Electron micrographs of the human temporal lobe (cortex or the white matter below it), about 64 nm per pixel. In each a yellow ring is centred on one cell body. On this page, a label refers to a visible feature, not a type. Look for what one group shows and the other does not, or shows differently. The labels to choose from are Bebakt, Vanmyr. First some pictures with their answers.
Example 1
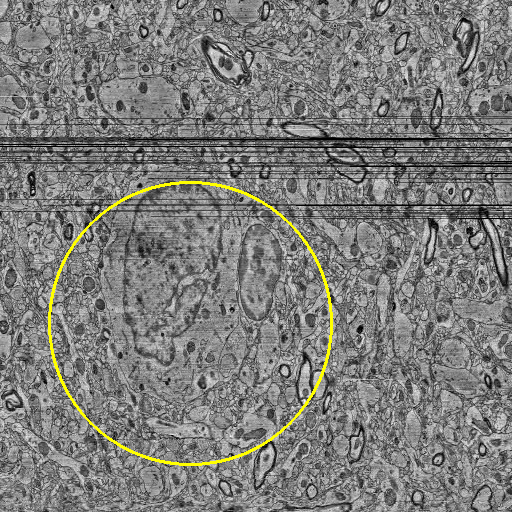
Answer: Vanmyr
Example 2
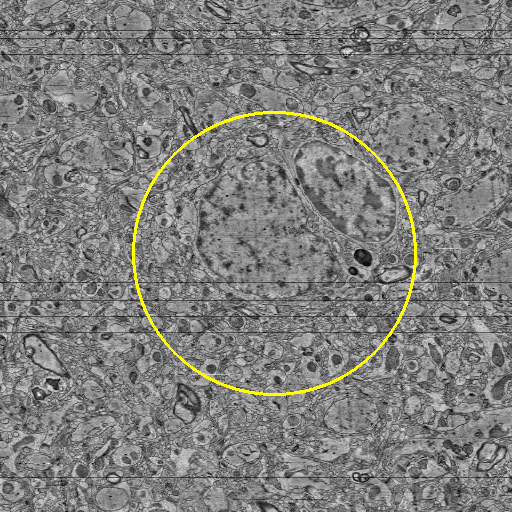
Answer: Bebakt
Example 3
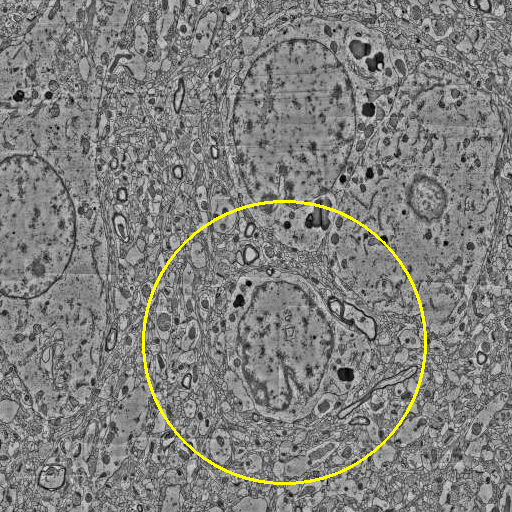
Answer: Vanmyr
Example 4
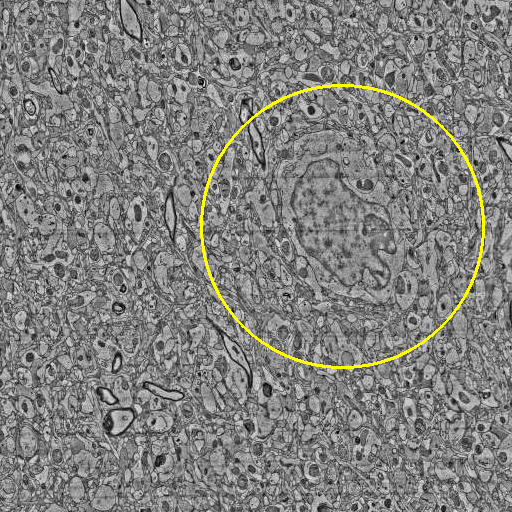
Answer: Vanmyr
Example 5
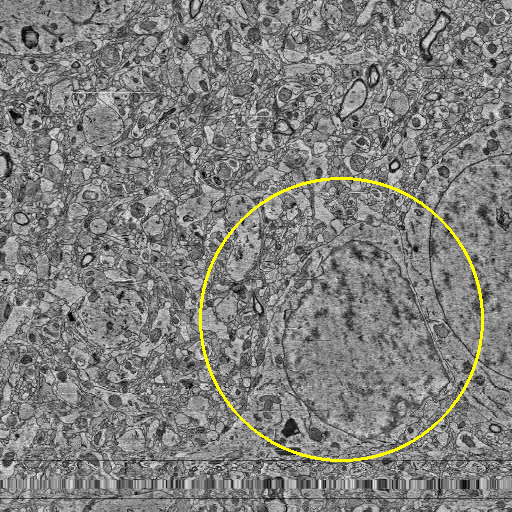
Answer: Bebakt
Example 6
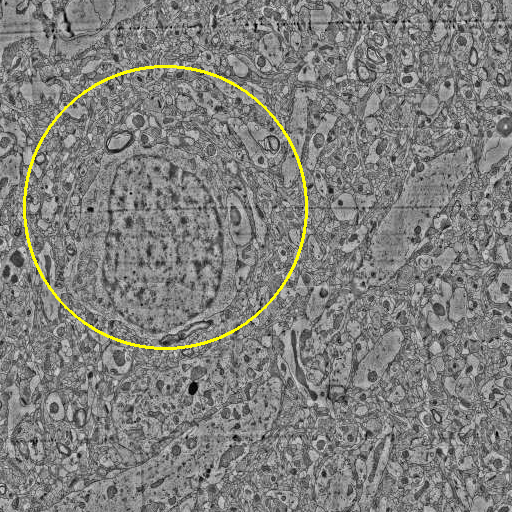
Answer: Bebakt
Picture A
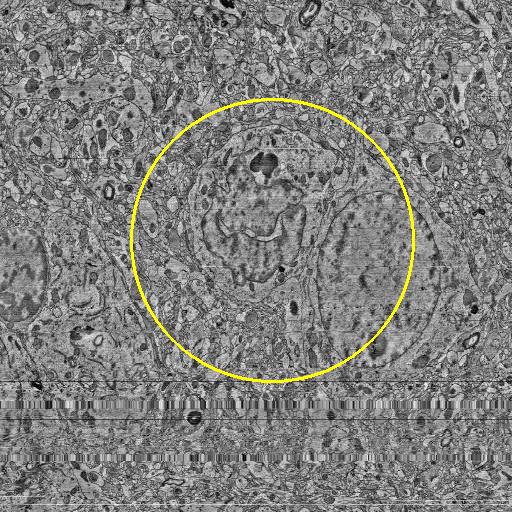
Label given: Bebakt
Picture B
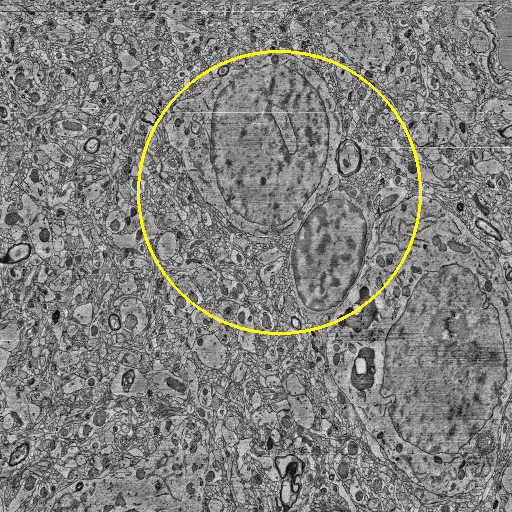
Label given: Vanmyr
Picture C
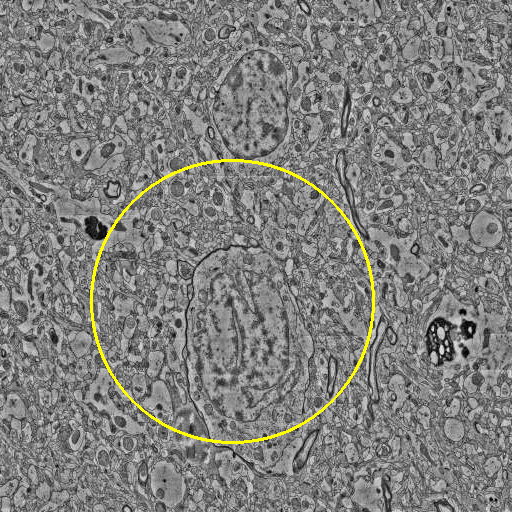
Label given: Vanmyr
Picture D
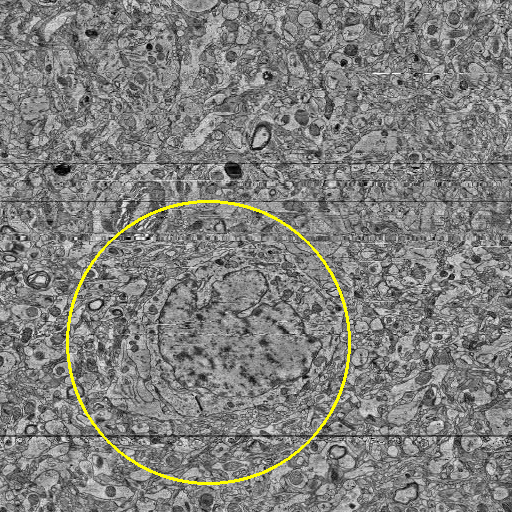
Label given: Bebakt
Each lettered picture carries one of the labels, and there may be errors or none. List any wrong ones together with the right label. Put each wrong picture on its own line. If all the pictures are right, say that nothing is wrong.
A: change Bebakt to Vanmyr
D: change Bebakt to Vanmyr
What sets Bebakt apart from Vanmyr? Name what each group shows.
Bebakt: smooth nuclear envelopes without deep folds; Vanmyr: deeply folded or indented nuclear envelopes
